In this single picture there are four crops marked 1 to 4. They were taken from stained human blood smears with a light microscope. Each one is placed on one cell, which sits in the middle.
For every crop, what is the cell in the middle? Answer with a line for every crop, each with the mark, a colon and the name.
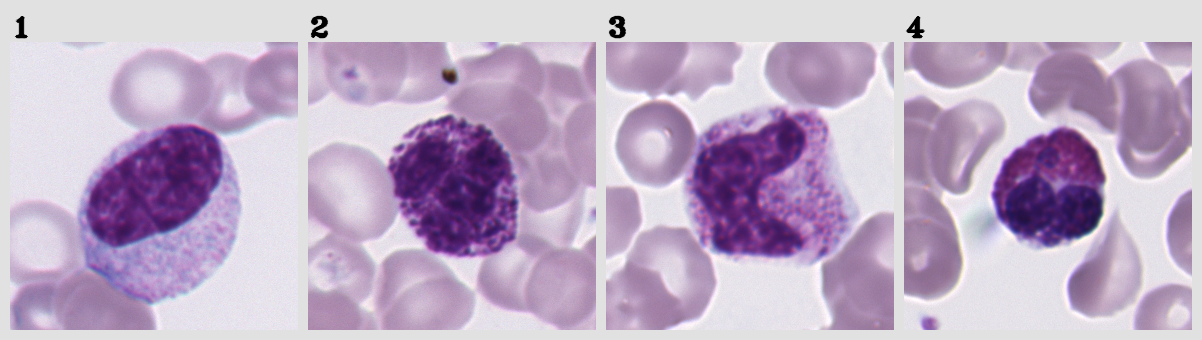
1: monocyte
2: basophil
3: metamyelocyte
4: eosinophil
